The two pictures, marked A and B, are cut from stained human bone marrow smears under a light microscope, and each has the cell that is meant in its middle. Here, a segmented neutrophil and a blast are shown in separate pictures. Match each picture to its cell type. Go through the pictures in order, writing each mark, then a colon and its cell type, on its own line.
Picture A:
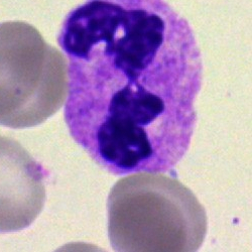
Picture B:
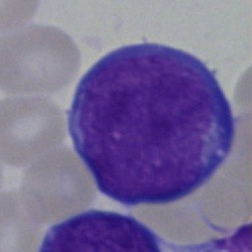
A: segmented neutrophil
B: blast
